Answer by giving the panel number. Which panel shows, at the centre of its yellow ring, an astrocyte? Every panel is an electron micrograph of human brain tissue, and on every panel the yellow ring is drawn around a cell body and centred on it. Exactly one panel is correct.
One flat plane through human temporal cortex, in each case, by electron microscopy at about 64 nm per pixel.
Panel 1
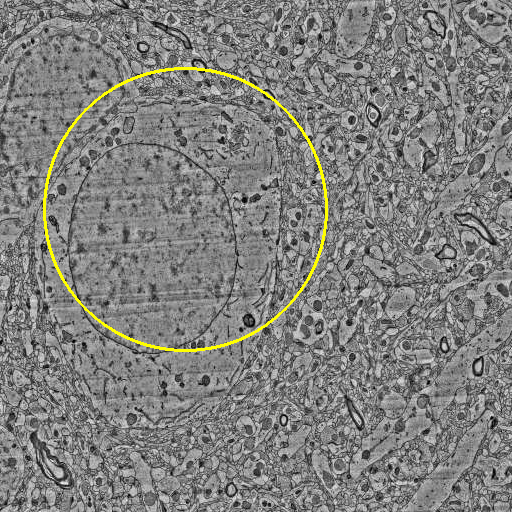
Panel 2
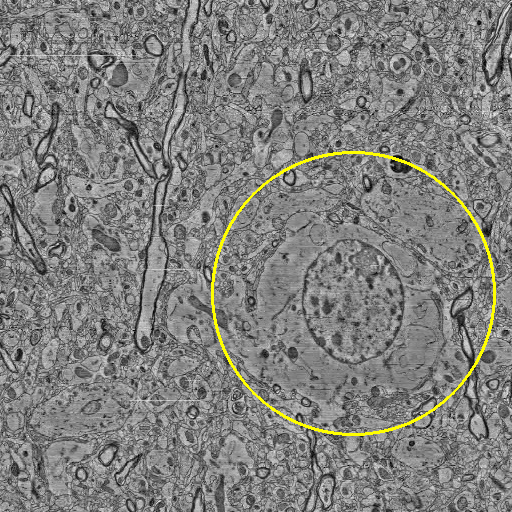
2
